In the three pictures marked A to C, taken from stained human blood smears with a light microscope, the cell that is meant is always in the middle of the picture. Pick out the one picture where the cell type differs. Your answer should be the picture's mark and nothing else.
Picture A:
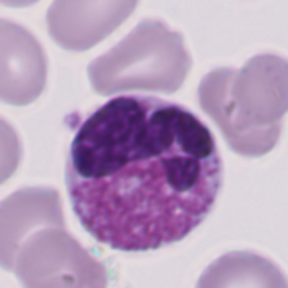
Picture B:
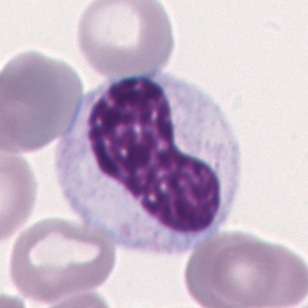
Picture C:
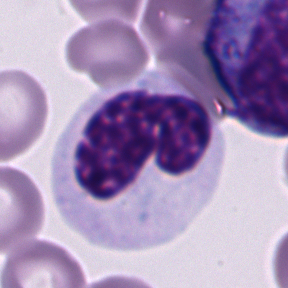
A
